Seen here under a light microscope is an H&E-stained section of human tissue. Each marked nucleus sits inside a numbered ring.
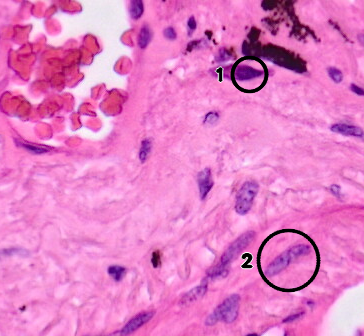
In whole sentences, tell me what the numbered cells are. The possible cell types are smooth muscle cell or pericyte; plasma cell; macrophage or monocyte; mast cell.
Cell 1 is a plasma cell and cell 2 is a smooth muscle cell or pericyte.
